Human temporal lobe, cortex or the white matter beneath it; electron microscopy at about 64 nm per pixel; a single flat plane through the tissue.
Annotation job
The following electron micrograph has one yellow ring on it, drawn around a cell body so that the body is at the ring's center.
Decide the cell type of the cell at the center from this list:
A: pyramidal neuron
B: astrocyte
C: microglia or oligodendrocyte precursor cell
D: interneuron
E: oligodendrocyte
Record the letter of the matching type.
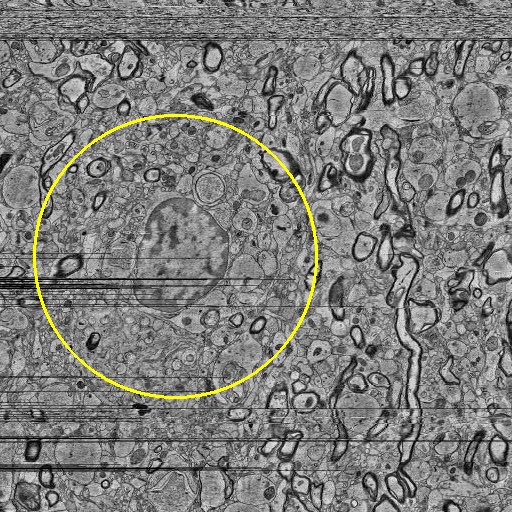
C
